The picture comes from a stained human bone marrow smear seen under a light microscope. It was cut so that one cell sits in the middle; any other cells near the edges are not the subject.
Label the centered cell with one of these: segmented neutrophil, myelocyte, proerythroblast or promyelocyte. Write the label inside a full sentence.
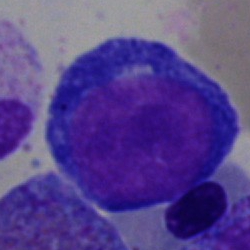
Here the centrally located cell is a proerythroblast.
